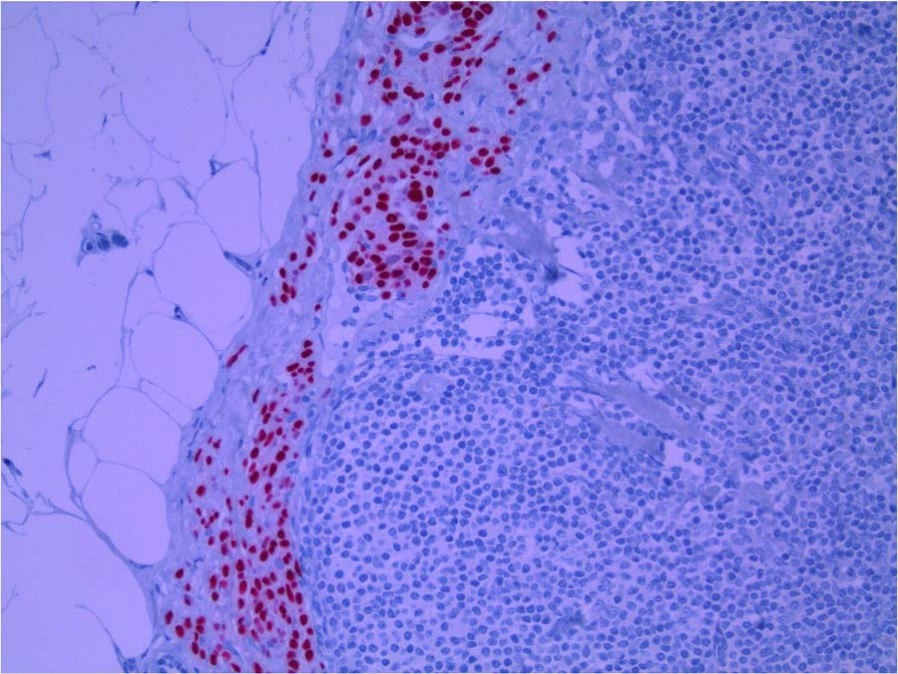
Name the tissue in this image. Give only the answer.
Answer: Lymph node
